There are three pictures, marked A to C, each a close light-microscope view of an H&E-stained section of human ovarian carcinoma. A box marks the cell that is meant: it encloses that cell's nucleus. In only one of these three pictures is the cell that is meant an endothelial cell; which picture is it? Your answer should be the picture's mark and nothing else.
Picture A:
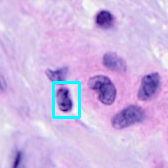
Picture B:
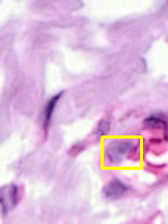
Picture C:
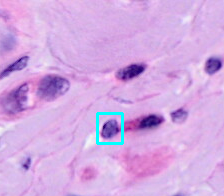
B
